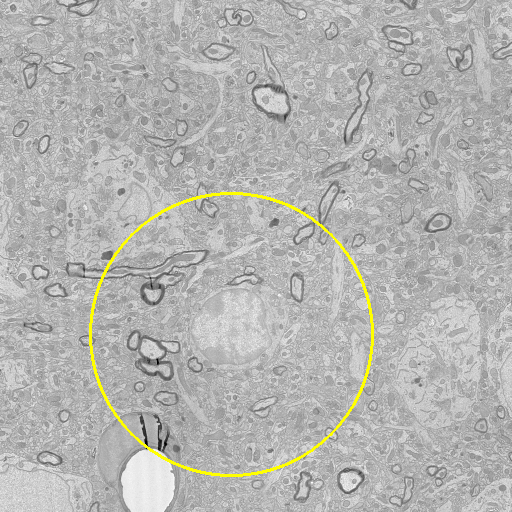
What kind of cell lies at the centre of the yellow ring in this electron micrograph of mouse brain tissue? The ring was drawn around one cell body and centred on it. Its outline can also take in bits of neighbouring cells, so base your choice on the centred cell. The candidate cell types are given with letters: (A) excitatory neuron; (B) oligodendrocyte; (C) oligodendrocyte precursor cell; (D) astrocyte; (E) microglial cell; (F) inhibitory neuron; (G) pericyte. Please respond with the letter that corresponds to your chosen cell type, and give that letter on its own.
B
